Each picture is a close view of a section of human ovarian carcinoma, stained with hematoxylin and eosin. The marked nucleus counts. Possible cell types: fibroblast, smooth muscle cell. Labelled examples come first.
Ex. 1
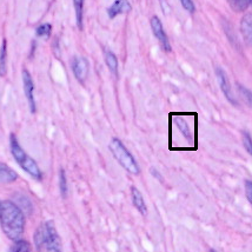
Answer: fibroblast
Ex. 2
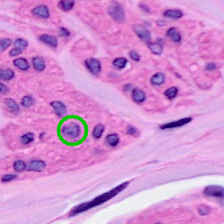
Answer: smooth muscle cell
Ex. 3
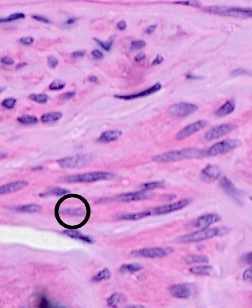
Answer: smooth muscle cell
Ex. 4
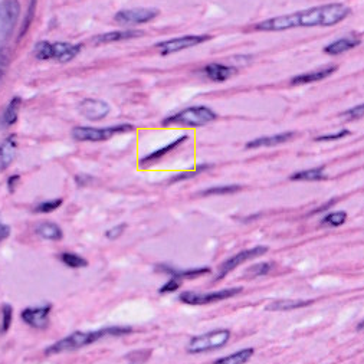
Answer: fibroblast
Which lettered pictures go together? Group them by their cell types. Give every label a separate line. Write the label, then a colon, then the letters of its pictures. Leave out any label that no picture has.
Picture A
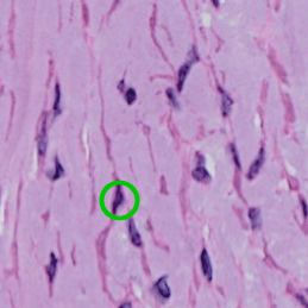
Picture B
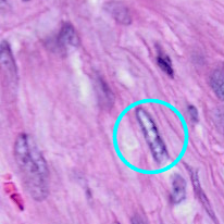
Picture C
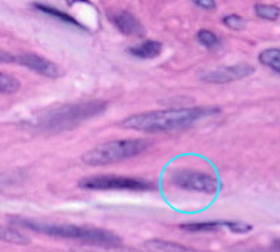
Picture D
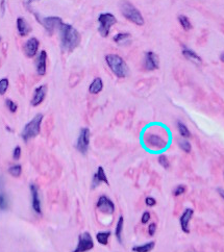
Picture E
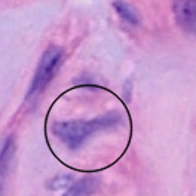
fibroblast: A, B
smooth muscle cell: C, D, E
